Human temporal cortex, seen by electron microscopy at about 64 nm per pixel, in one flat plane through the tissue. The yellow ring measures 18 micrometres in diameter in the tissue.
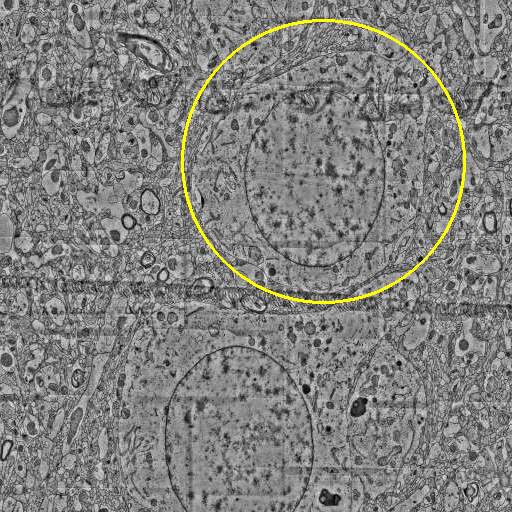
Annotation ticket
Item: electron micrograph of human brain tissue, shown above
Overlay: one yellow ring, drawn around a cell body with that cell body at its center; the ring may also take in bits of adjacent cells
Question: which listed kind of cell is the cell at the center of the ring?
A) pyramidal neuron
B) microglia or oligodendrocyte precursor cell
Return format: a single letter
A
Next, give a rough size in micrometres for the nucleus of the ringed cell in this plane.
The nucleus works out at approximately 12 by 9 micrometres in this plane.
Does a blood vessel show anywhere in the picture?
No, none appears.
